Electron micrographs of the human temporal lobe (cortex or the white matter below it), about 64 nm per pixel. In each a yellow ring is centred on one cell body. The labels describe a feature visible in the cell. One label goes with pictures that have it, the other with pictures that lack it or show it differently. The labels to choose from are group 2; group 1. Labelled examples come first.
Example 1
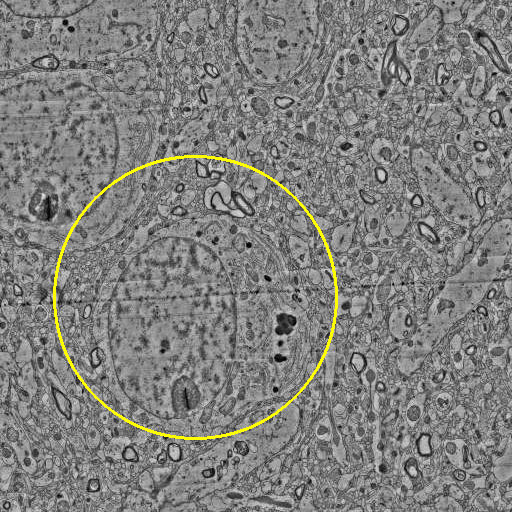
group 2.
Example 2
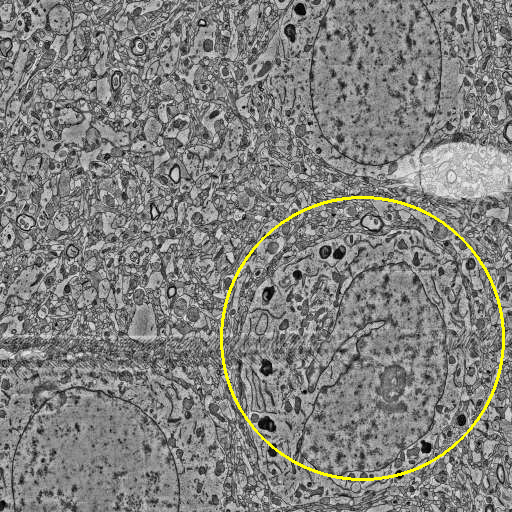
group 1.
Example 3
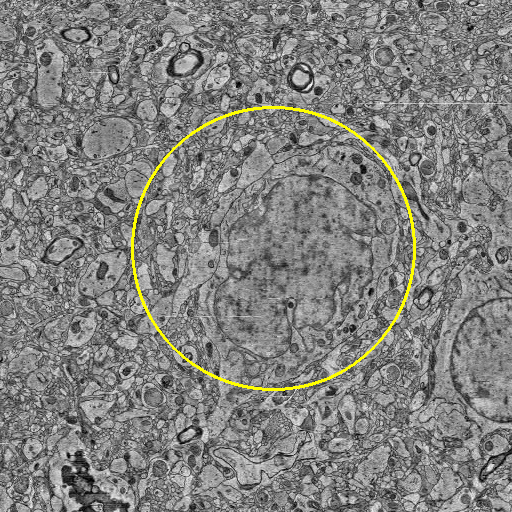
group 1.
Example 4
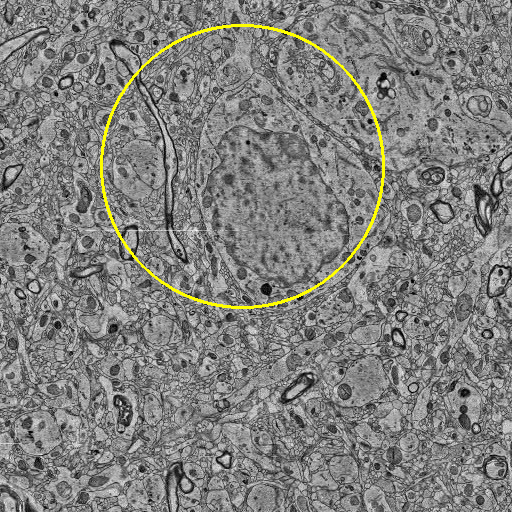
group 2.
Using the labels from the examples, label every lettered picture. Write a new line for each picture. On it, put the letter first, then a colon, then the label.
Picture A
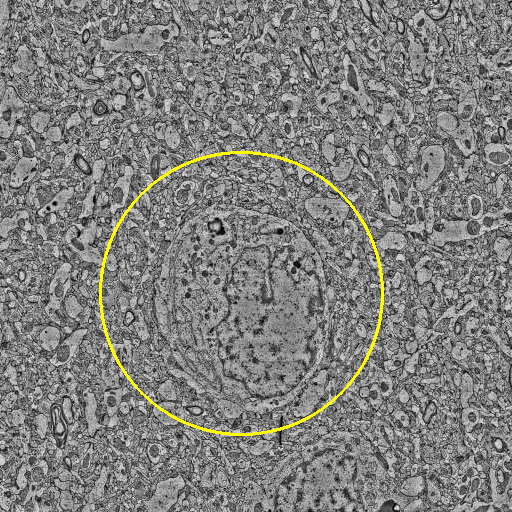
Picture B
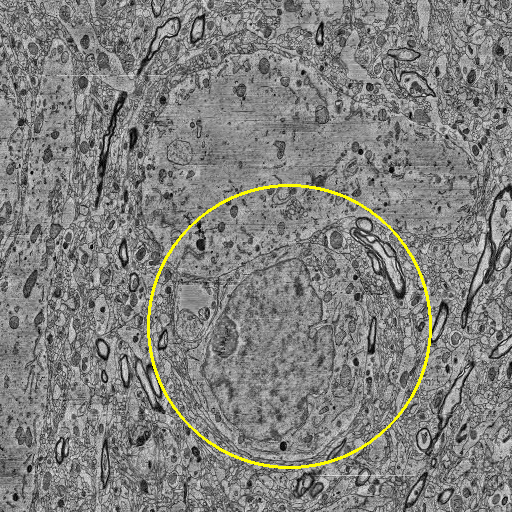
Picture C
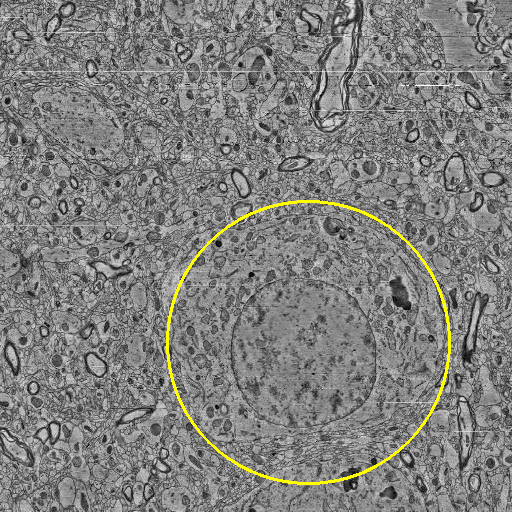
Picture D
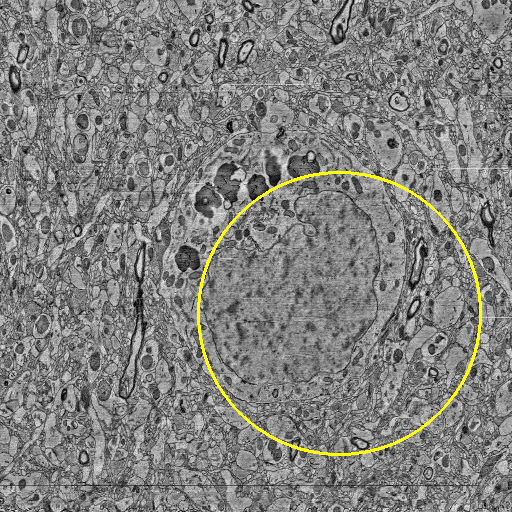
A: group 1.
B: group 1.
C: group 2.
D: group 1.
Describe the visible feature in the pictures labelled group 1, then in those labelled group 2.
group 1: deeply folded or indented nuclear envelopes; group 2: smooth nuclear envelopes without deep folds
